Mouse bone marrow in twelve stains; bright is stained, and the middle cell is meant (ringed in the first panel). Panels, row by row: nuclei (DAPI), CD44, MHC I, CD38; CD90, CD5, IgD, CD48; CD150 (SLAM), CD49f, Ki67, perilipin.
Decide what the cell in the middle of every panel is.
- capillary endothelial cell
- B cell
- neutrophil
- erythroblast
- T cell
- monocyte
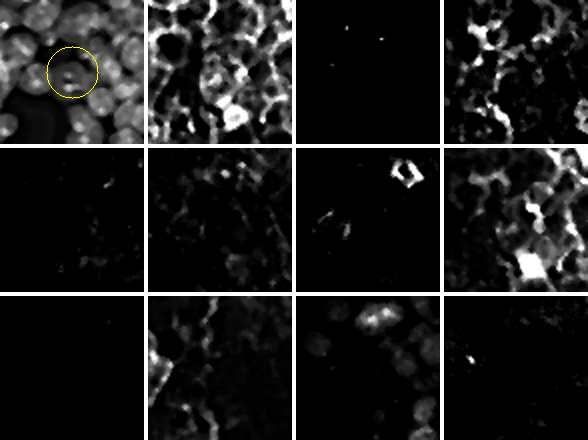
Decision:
neutrophil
